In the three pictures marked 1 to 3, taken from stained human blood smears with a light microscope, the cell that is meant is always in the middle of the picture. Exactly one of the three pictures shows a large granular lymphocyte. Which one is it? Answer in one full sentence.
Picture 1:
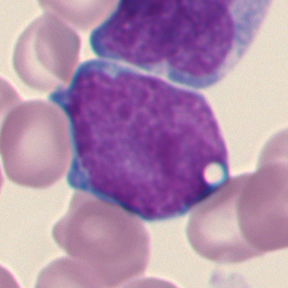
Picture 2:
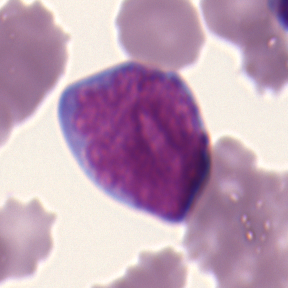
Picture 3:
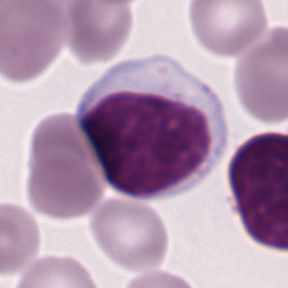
It is picture 3 that shows the large granular lymphocyte.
